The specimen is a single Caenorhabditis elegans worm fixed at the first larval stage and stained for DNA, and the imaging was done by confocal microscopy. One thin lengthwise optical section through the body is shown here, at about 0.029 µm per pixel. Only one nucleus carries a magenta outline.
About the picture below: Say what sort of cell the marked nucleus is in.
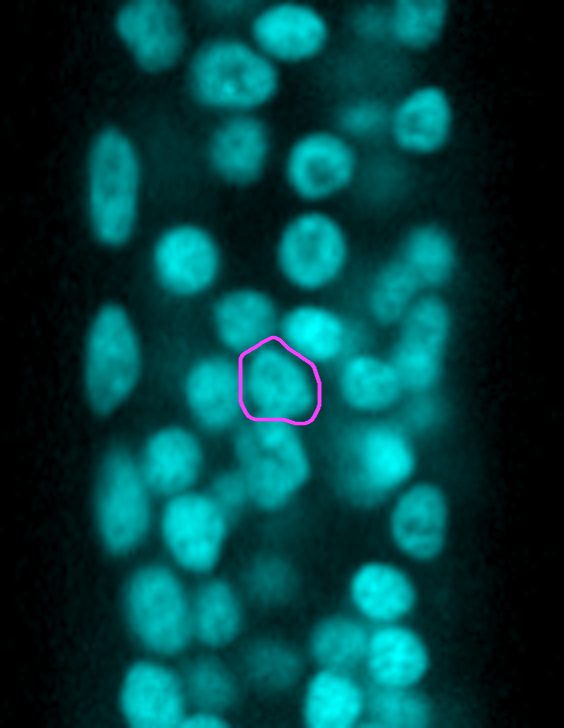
pharyngeal muscle cell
